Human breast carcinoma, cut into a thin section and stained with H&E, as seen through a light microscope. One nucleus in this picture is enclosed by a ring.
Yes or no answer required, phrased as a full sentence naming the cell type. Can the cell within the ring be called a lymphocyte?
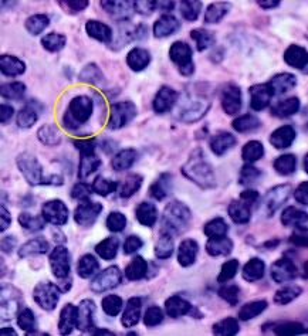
Yes, the cell within the ring is accurately described as a lymphocyte.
